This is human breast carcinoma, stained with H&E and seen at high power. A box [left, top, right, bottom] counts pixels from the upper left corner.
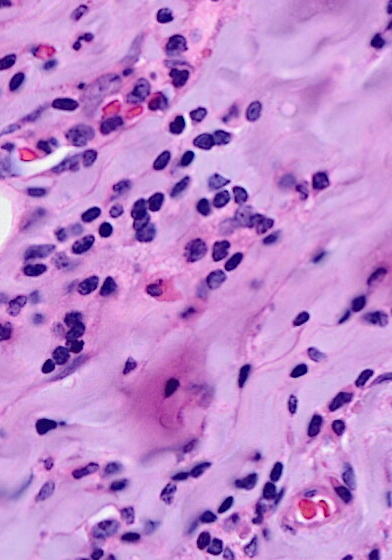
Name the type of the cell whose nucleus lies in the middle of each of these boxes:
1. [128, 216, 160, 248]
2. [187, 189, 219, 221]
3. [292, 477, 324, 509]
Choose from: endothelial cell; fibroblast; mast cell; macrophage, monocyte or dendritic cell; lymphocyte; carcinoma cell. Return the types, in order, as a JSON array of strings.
["lymphocyte", "lymphocyte", "endothelial cell"]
